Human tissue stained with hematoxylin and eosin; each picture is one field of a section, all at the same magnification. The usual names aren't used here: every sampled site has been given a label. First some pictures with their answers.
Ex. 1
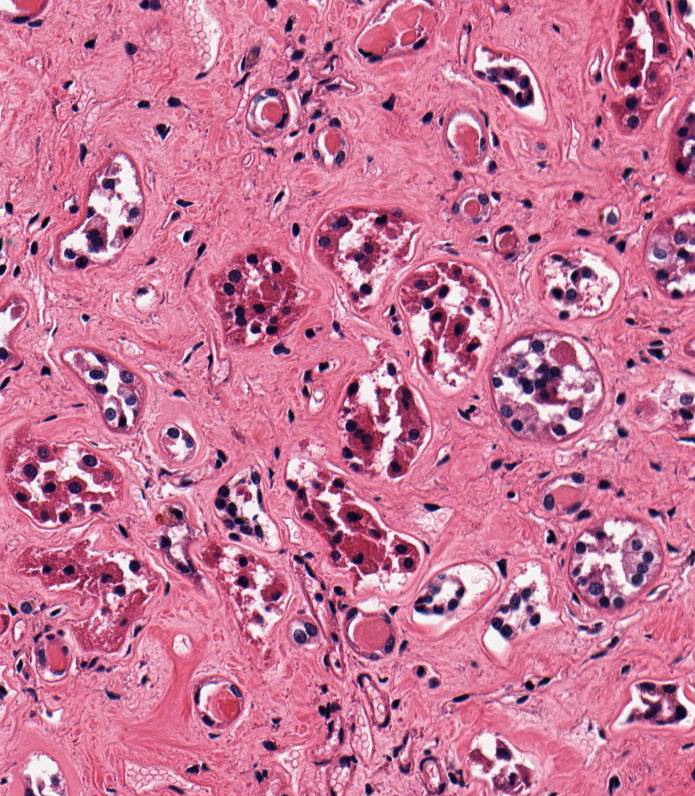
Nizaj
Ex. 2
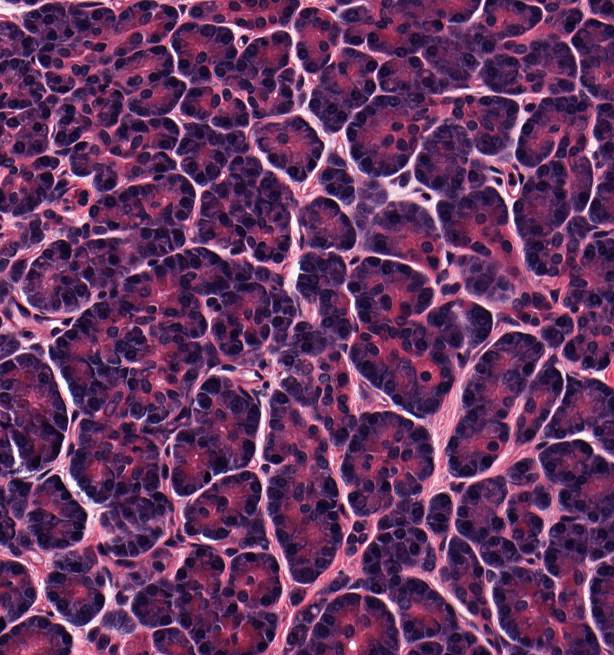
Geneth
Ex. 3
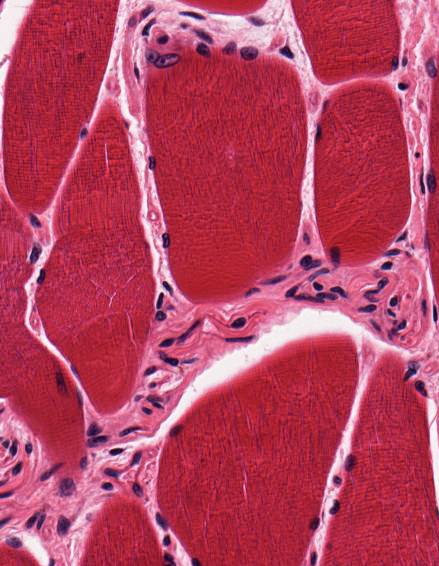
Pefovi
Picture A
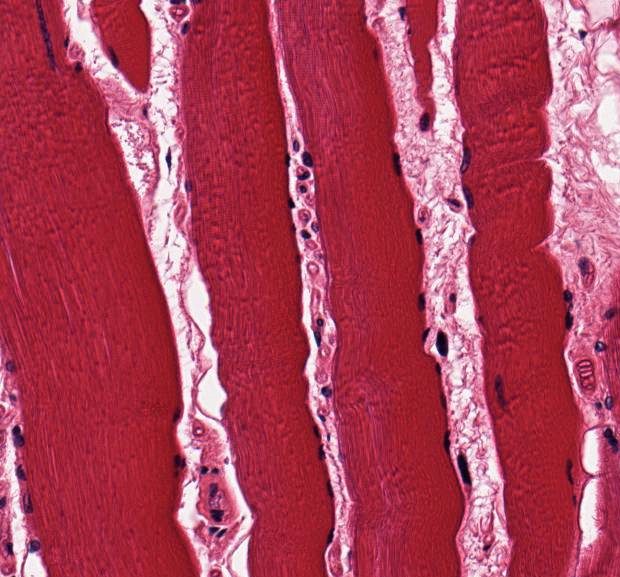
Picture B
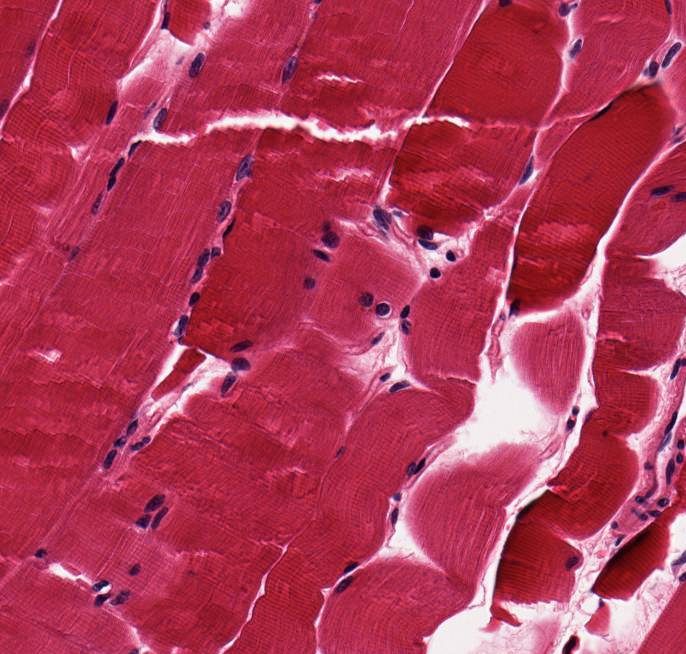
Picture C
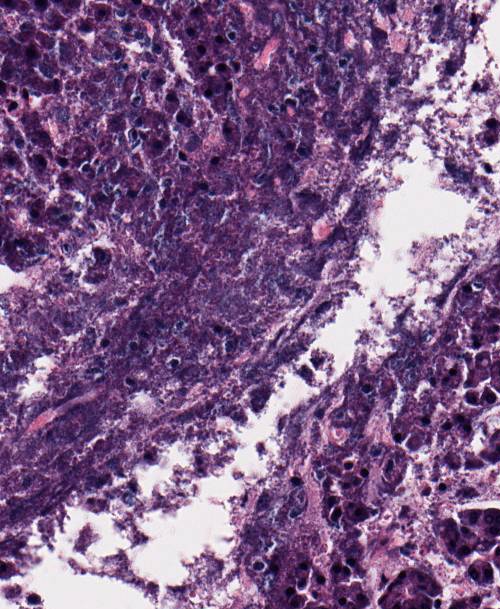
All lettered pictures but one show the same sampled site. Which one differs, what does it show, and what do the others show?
Picture C: Geneth. All others: Pefovi.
